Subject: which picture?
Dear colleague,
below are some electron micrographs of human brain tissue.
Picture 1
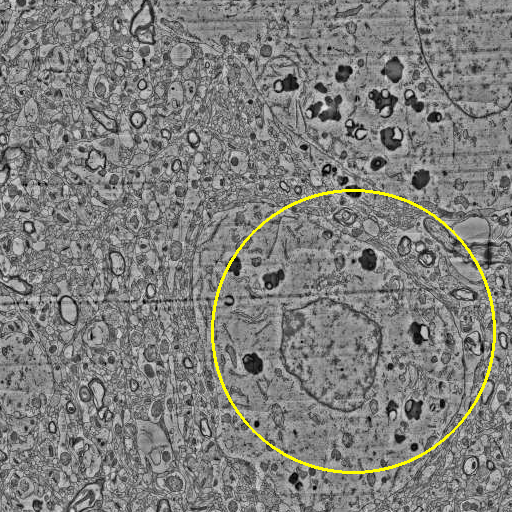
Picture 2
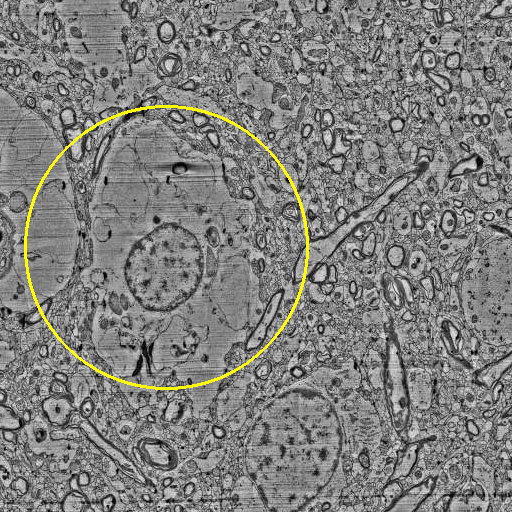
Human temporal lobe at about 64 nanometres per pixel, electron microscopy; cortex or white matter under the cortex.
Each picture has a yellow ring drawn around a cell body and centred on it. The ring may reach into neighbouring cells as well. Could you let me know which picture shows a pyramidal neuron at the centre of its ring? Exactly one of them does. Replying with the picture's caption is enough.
Picture 1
